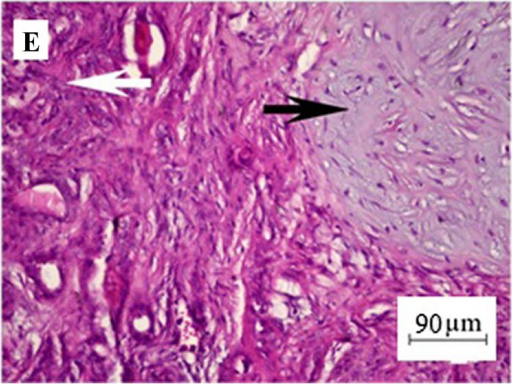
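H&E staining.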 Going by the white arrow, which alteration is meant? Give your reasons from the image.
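The white arrow points to pink cellular tissue at the left edge. Small gland-like spaces are nearby.
Conclusion: epithelial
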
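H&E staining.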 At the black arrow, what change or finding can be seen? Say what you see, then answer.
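The black arrow points into a pale bluish-gray matrix. Scattered spindle and stellate cells lie within that matrix. The area is clearly unlike the pink tissue around it. On this evidence: mesenchymal.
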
